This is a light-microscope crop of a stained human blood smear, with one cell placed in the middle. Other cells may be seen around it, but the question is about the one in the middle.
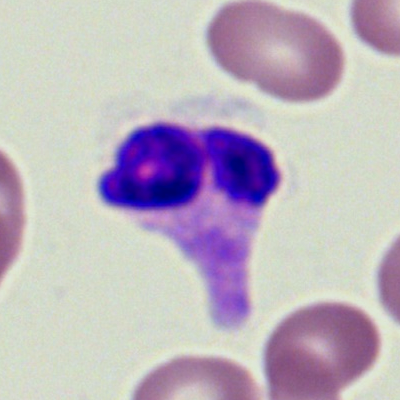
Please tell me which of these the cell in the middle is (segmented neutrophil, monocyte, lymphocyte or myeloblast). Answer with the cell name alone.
segmented neutrophil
